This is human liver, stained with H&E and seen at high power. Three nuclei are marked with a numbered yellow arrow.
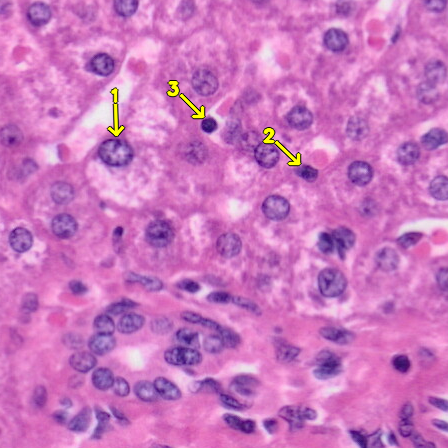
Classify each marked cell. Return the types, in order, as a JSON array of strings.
["hepatocyte", "fibroblast or stellate cell", "lymphocyte"]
